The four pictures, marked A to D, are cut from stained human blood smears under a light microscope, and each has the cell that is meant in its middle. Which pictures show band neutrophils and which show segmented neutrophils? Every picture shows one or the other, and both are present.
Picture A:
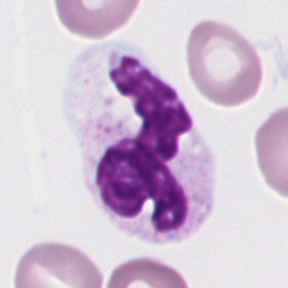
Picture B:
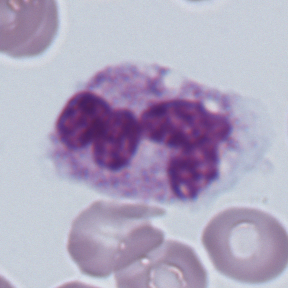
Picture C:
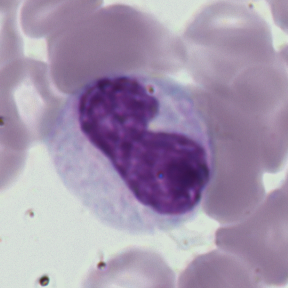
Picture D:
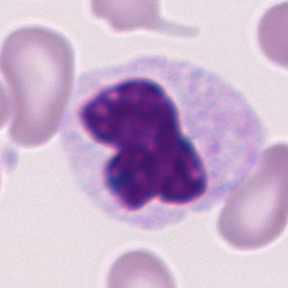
A: segmented neutrophil
B: segmented neutrophil
C: band neutrophil
D: segmented neutrophil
